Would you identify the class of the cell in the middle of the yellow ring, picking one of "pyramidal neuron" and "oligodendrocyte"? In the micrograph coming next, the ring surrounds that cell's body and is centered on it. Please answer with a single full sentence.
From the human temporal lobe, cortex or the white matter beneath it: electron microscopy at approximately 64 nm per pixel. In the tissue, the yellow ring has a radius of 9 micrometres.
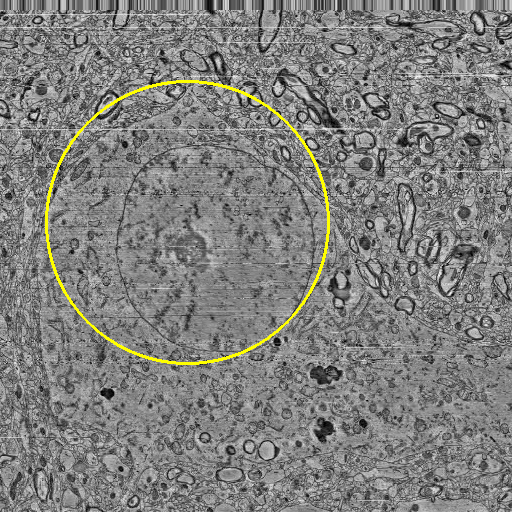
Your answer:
In the micrograph, it is a pyramidal neuron whose body lies at the ring's center.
